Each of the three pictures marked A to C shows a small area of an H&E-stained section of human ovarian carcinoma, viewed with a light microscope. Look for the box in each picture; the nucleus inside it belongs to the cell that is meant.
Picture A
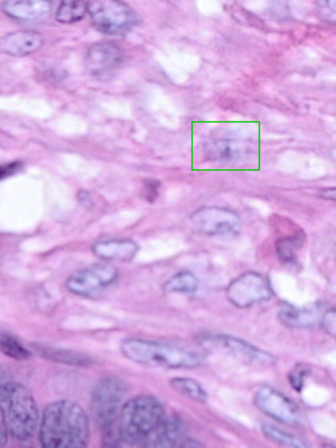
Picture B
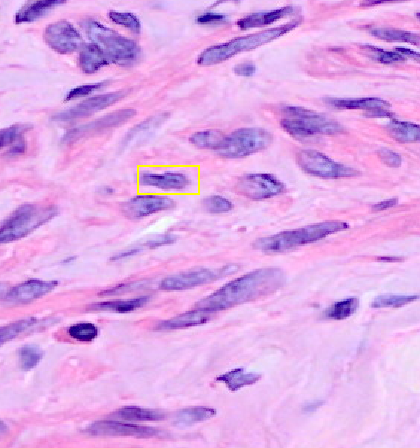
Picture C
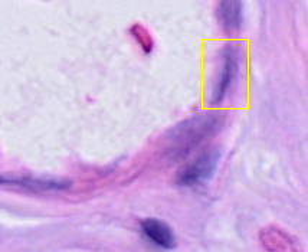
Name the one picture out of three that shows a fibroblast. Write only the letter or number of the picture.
A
